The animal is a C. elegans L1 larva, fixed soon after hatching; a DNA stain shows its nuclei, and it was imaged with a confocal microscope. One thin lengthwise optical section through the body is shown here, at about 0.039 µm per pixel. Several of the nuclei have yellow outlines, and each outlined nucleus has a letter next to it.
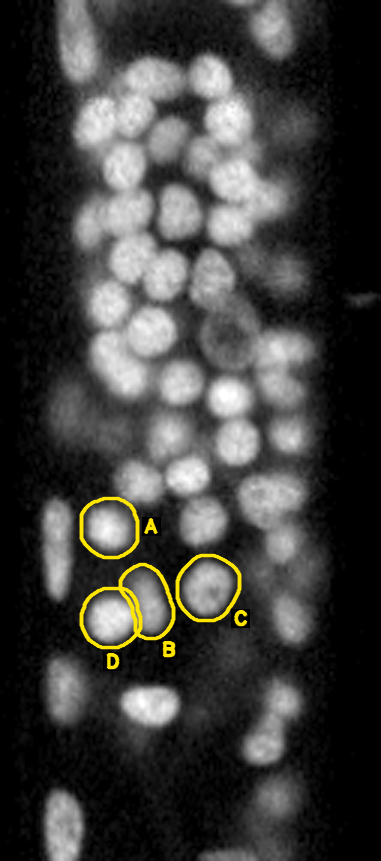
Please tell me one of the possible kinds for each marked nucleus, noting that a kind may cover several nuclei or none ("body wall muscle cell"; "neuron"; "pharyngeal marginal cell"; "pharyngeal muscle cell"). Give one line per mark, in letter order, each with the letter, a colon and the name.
A: neuron
B: pharyngeal marginal cell
C: pharyngeal muscle cell
D: neuron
